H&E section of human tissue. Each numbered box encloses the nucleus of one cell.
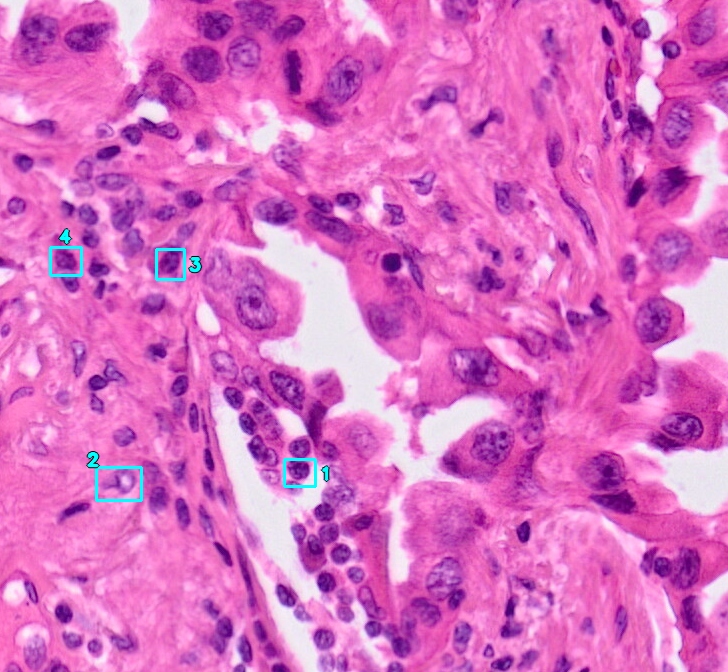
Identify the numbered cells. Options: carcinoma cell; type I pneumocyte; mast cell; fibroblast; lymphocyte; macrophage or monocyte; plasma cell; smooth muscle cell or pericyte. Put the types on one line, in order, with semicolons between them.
lymphocyte; fibroblast; plasma cell; plasma cell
